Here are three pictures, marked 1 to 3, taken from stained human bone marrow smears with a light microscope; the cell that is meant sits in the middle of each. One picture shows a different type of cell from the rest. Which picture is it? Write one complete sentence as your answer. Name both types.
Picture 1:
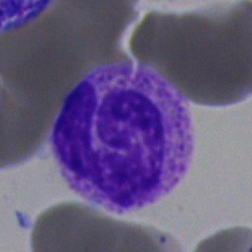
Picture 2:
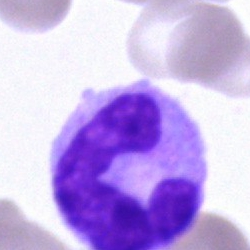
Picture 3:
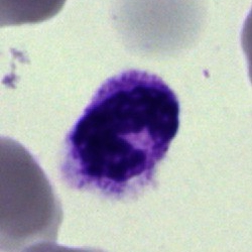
Unlike the rest, which show band neutrophils, picture 2 shows a monocyte.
